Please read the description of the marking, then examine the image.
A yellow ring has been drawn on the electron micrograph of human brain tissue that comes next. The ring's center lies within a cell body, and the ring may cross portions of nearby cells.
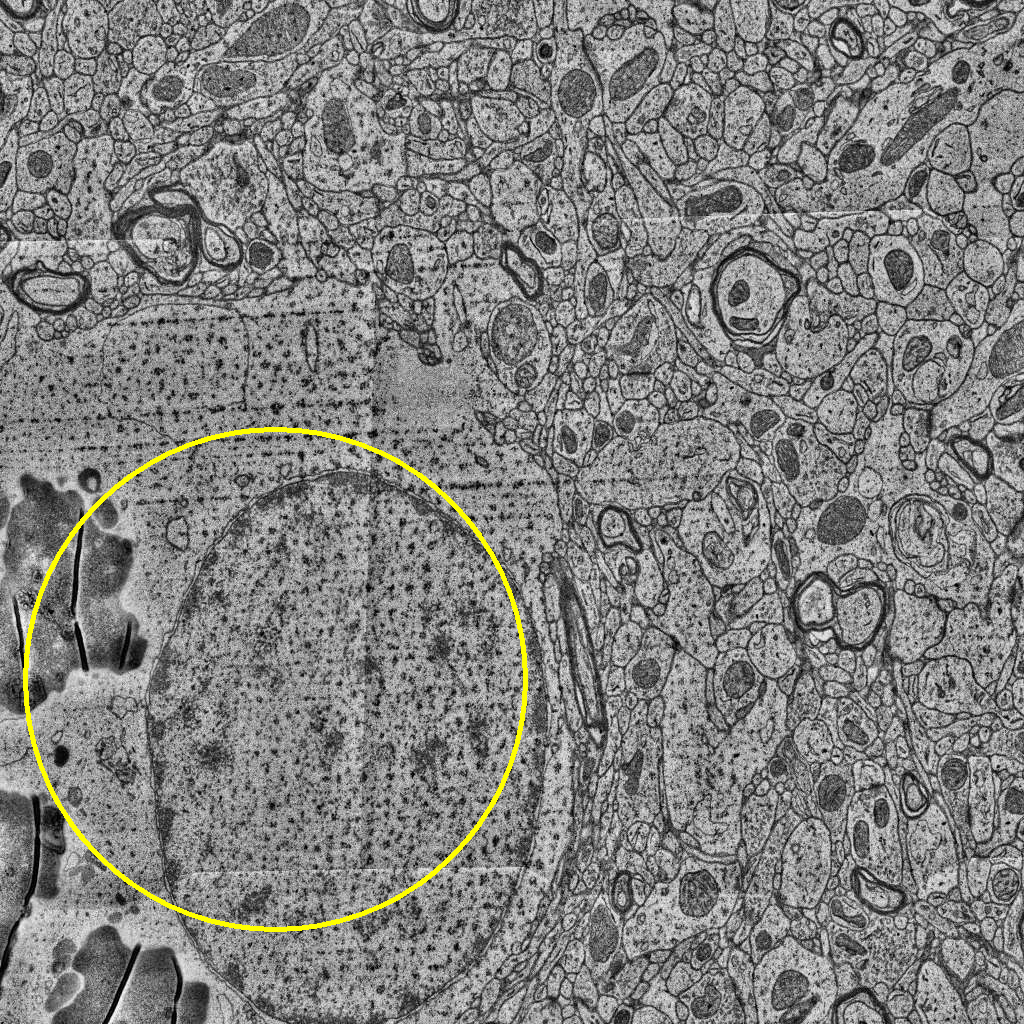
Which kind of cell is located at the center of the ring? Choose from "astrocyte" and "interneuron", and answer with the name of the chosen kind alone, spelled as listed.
astrocyte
